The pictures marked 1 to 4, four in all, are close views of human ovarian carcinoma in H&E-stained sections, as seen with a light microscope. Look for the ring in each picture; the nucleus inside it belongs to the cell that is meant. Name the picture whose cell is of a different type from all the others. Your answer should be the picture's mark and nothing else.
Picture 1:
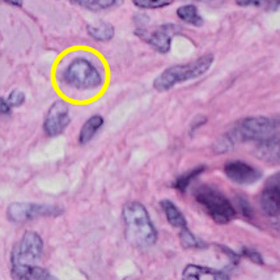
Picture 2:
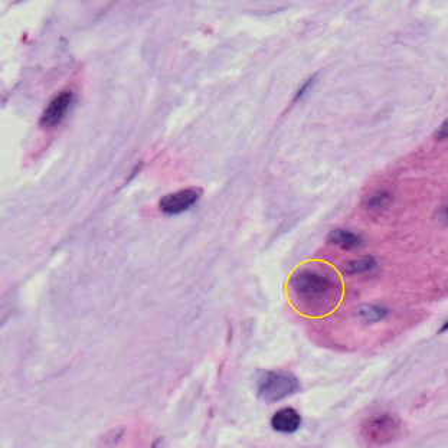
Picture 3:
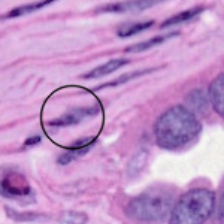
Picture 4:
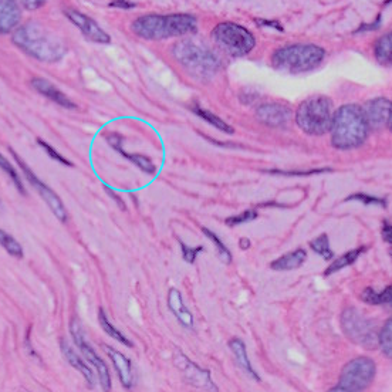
2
